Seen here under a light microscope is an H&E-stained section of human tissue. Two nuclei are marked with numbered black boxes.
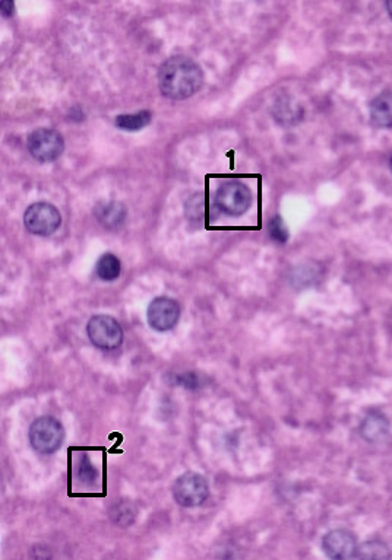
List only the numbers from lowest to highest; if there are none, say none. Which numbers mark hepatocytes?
1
